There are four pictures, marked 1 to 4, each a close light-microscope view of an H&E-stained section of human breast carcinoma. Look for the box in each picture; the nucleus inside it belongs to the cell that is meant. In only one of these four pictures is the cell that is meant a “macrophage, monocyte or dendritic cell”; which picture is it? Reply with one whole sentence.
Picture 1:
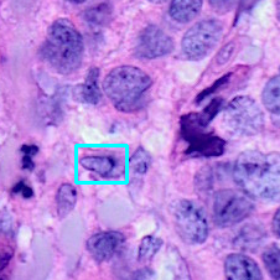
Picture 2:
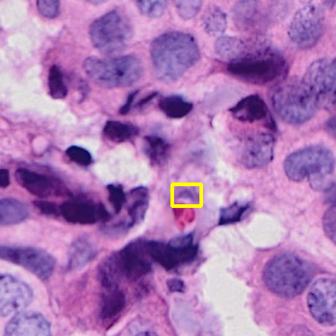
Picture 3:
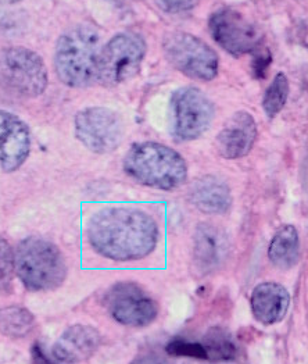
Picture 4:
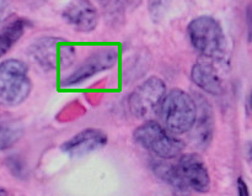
The picture with the “macrophage, monocyte or dendritic cell” is 1.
